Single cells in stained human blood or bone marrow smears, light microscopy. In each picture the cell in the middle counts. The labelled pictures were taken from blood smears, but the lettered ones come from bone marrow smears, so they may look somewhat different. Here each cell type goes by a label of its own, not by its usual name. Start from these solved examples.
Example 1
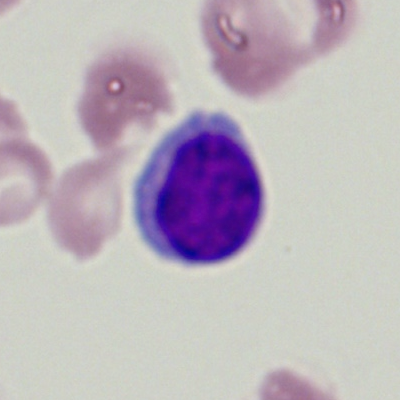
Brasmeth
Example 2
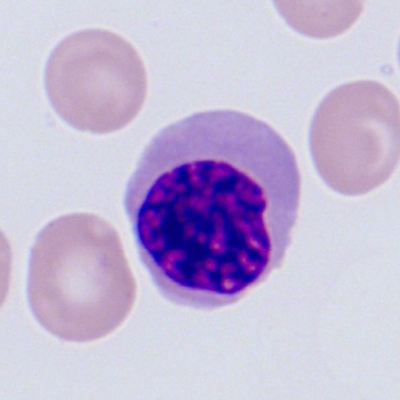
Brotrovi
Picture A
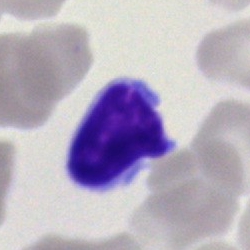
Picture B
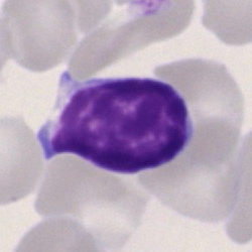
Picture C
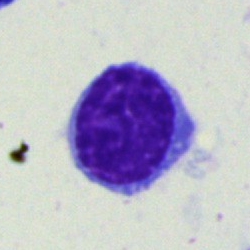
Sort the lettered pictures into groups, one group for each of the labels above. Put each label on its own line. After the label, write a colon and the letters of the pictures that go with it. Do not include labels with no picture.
Brasmeth: A, B, C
